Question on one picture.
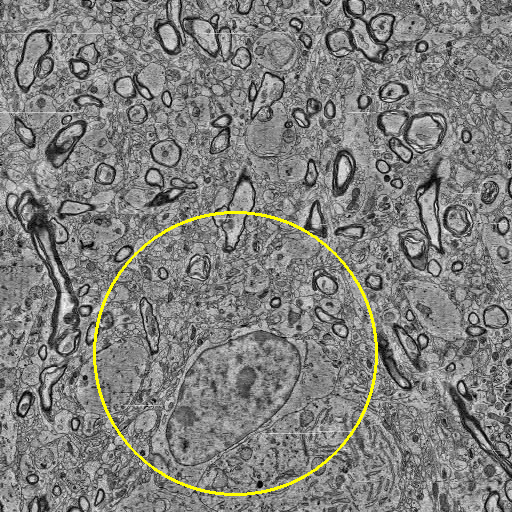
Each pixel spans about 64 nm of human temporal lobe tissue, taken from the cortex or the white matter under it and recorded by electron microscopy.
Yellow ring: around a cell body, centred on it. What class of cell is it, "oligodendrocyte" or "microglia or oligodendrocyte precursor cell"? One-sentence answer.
This is a microglial cell or oligodendrocyte precursor cell, the cell the ring is centred on.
